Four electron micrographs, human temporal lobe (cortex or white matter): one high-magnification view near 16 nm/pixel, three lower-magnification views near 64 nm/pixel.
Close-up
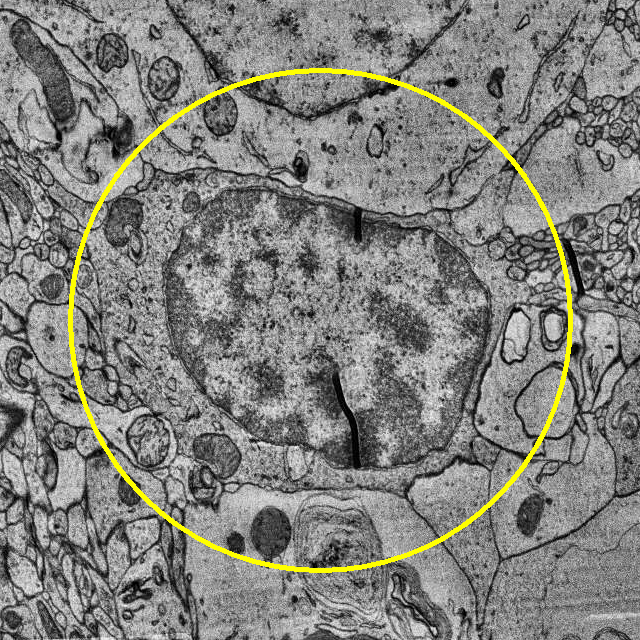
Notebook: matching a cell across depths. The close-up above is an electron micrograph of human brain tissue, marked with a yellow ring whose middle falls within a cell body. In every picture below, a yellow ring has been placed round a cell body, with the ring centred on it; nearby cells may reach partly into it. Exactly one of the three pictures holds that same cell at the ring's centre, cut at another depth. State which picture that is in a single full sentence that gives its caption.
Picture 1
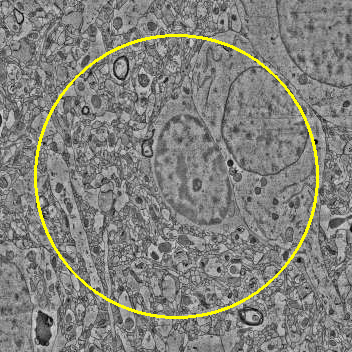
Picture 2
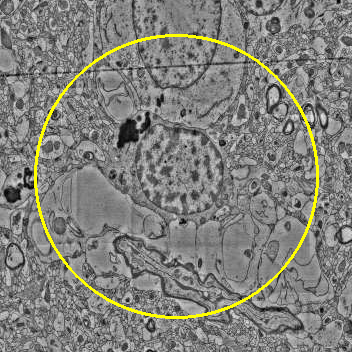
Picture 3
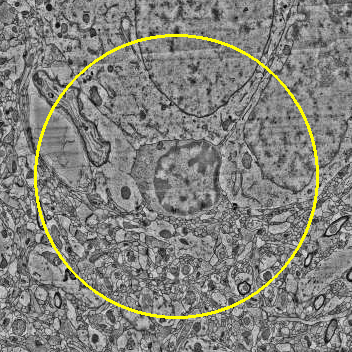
The same cell appears ringed in Picture 2 and enlarged in the close-up.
